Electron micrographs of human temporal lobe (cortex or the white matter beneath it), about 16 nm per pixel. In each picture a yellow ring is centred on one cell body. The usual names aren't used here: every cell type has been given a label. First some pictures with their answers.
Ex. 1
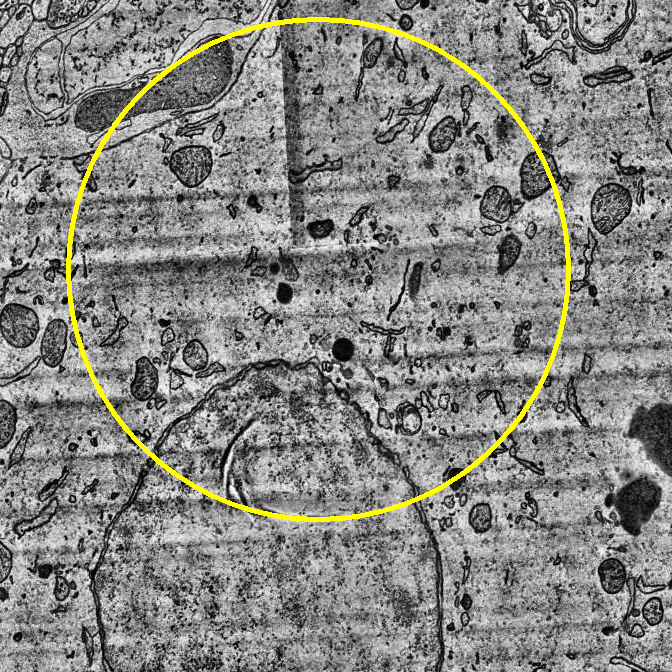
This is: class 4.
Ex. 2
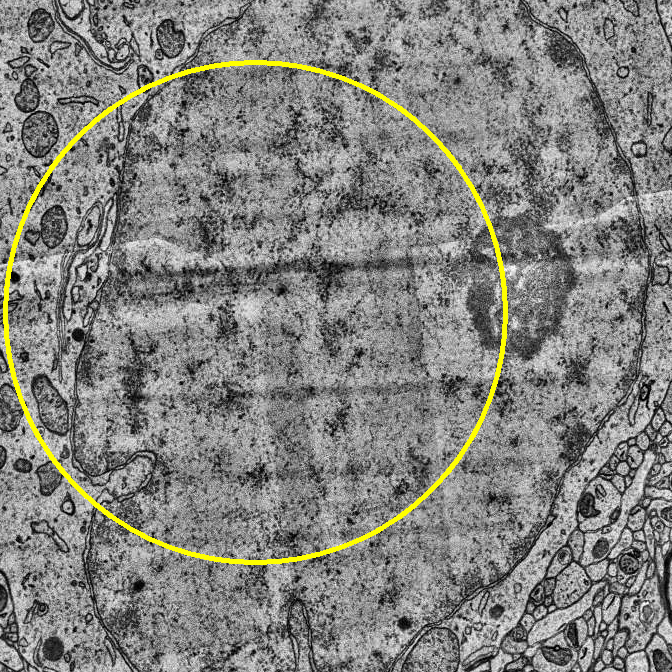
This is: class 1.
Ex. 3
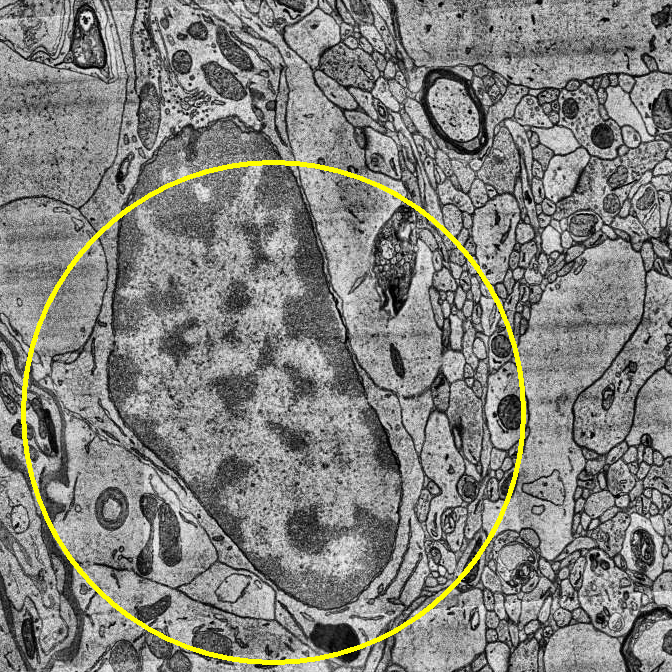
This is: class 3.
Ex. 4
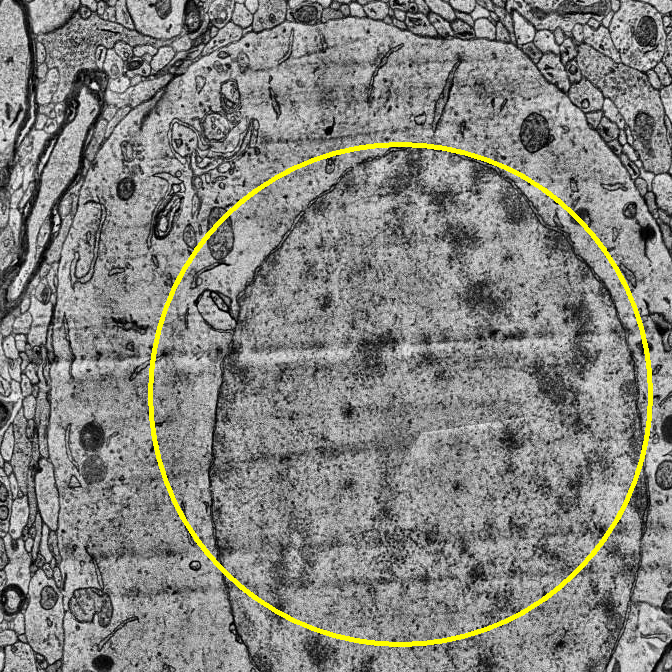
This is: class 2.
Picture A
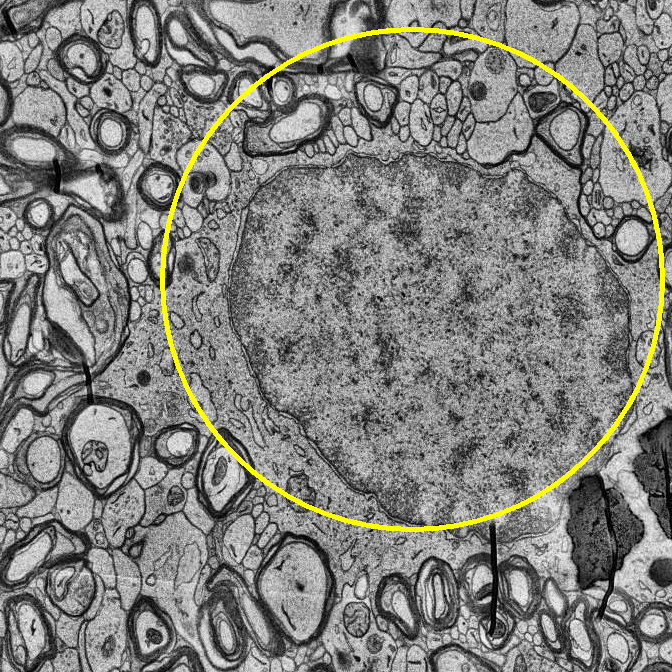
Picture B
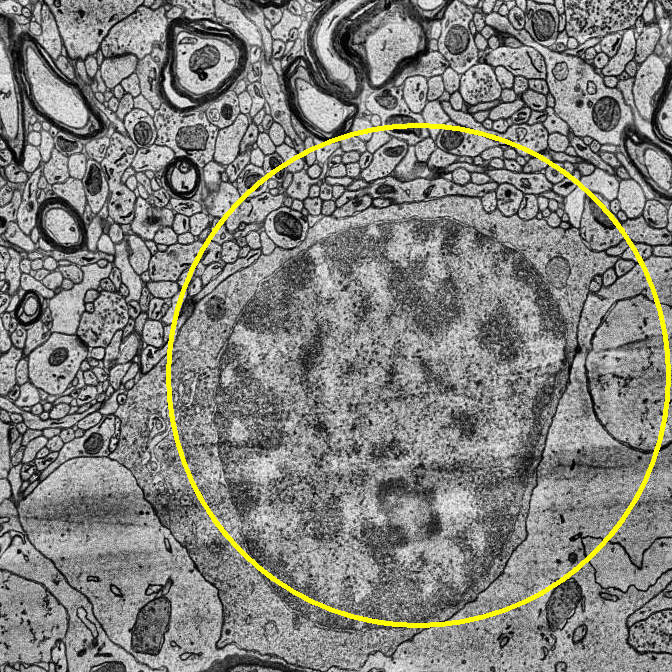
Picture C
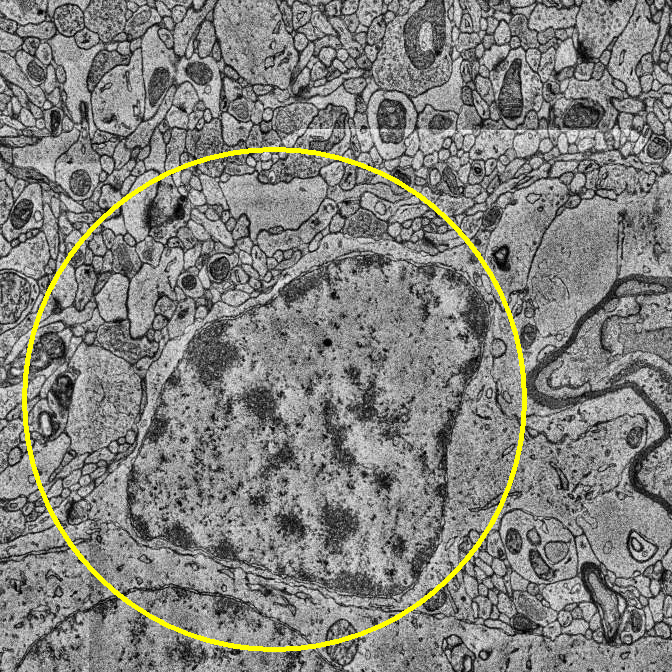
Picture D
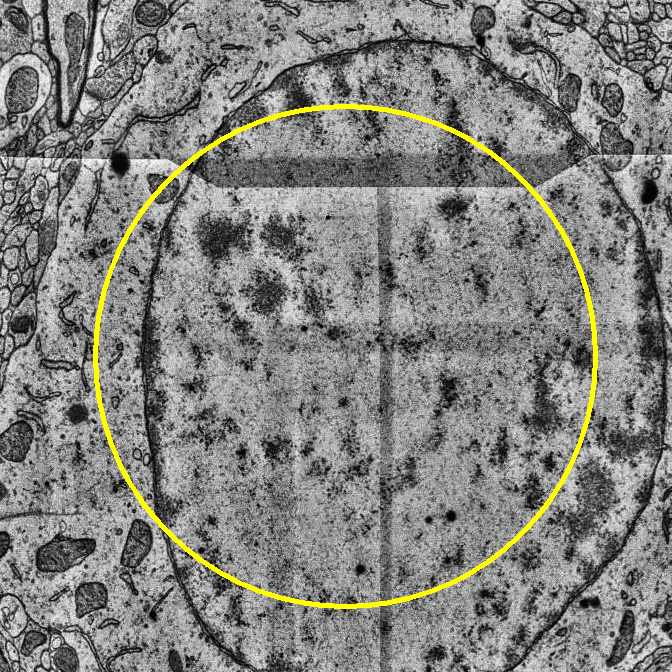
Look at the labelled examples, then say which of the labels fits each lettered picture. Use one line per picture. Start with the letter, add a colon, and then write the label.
A: class 4.
B: class 4.
C: class 3.
D: class 2.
